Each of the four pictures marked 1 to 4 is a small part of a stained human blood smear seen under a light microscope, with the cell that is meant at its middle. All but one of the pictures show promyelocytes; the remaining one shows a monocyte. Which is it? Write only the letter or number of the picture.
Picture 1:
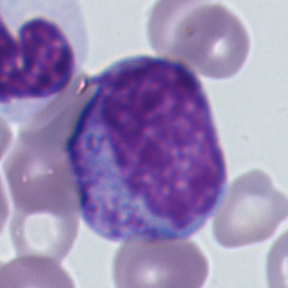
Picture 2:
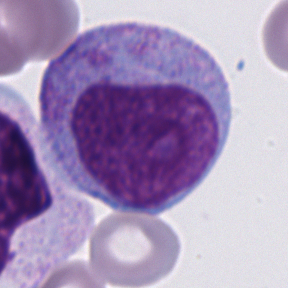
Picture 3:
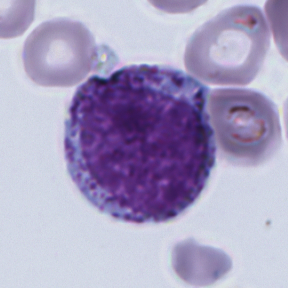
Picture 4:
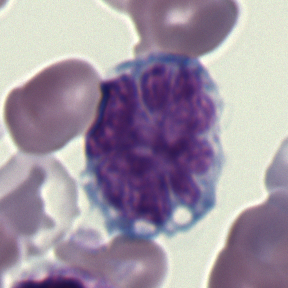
4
